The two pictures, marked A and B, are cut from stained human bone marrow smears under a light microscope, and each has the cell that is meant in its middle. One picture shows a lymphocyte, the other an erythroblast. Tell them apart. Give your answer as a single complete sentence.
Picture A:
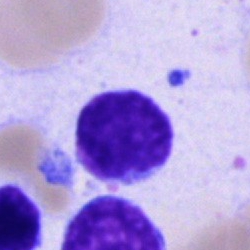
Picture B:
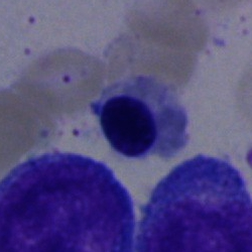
In picture A the cell is a lymphocyte; in picture B, an erythroblast.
